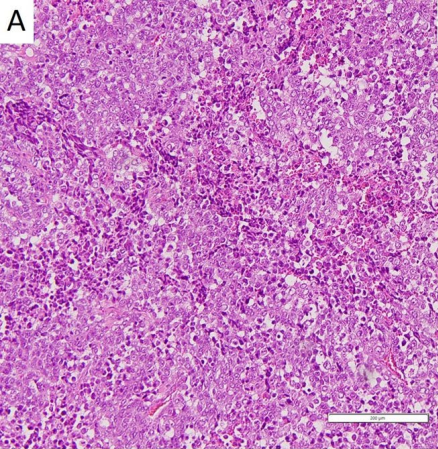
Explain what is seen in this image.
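This is a solid tumor made of sheets of closely packed cells, each with a large, round to oval nucleus that takes up most of the cell, leaving only a narrow rim of pale pink cytoplasm. The nuclei are dark and crowded, giving the field a dense purple look, with some darker clusters of cells scattered through it.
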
